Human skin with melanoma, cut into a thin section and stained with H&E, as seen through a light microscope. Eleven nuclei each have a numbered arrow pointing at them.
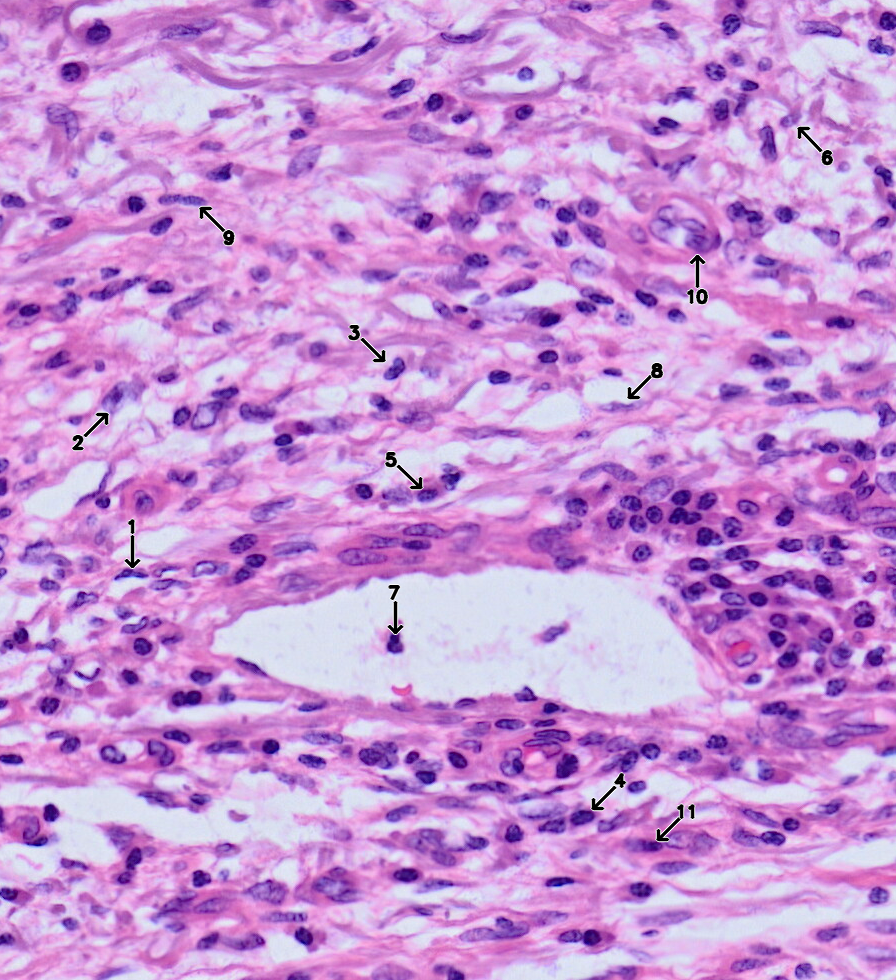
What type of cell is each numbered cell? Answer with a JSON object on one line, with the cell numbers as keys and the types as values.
{"1": "fibroblast or myofibroblast", "2": "fibroblast or myofibroblast", "3": "lymphocyte", "4": "plasma cell", "5": "plasma cell", "6": "fibroblast or myofibroblast", "7": "lymphocyte", "8": "fibroblast or myofibroblast", "9": "fibroblast or myofibroblast", "10": "endothelial cell", "11": "endothelial cell"}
